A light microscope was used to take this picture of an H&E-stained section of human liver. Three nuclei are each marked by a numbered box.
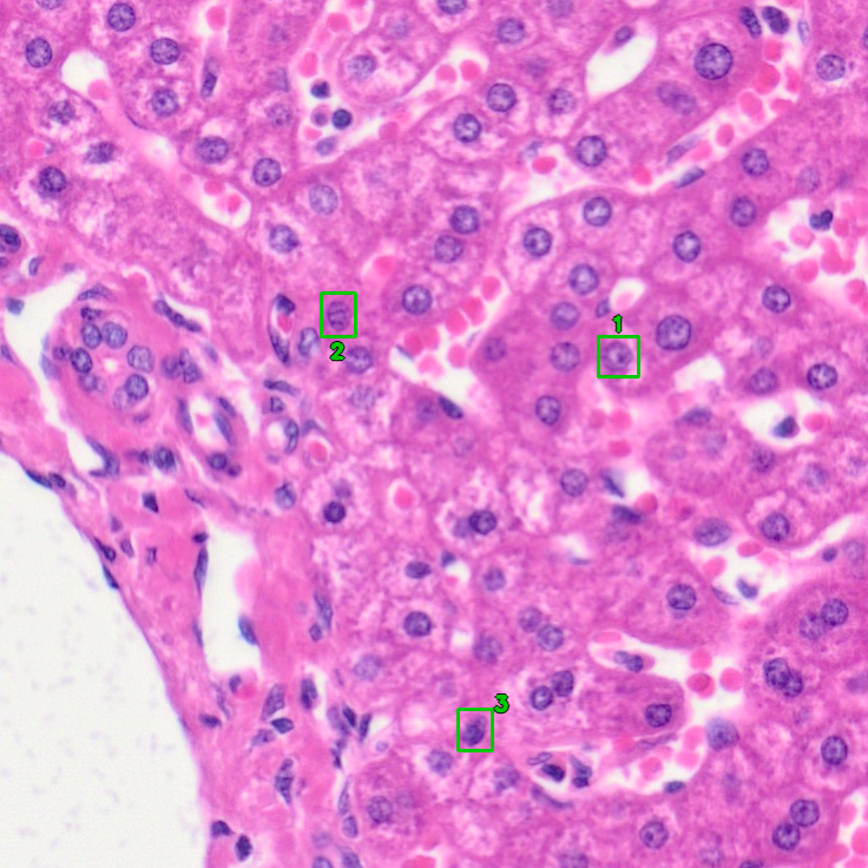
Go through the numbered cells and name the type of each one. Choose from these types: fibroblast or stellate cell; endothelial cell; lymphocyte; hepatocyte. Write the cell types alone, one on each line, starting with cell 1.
hepatocyte
hepatocyte
fibroblast or stellate cell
